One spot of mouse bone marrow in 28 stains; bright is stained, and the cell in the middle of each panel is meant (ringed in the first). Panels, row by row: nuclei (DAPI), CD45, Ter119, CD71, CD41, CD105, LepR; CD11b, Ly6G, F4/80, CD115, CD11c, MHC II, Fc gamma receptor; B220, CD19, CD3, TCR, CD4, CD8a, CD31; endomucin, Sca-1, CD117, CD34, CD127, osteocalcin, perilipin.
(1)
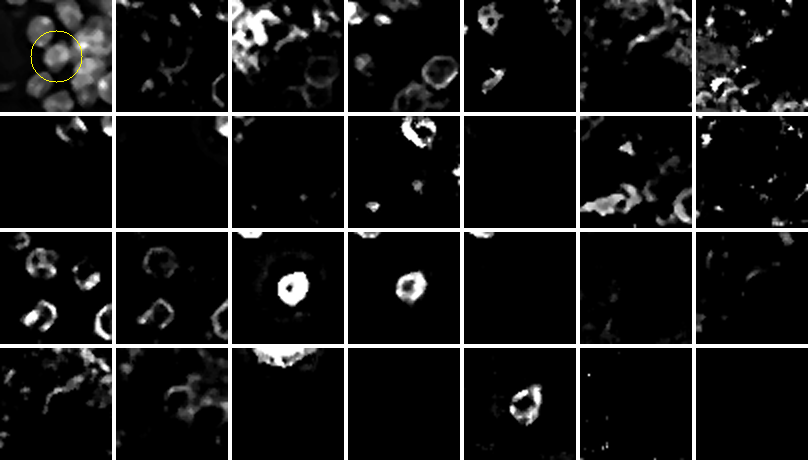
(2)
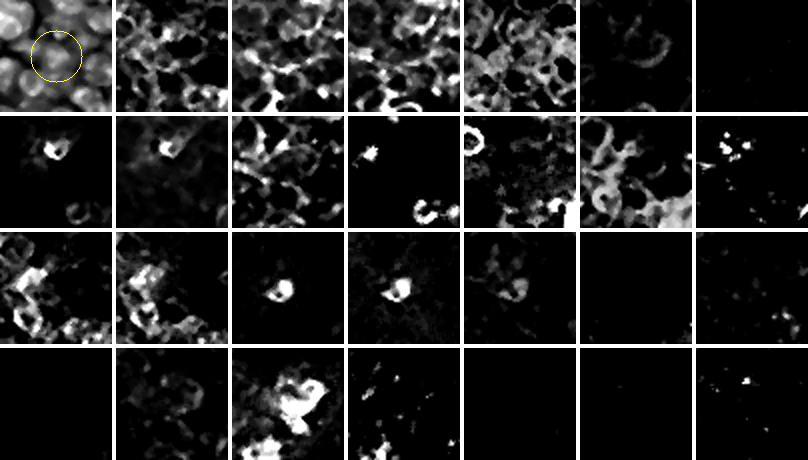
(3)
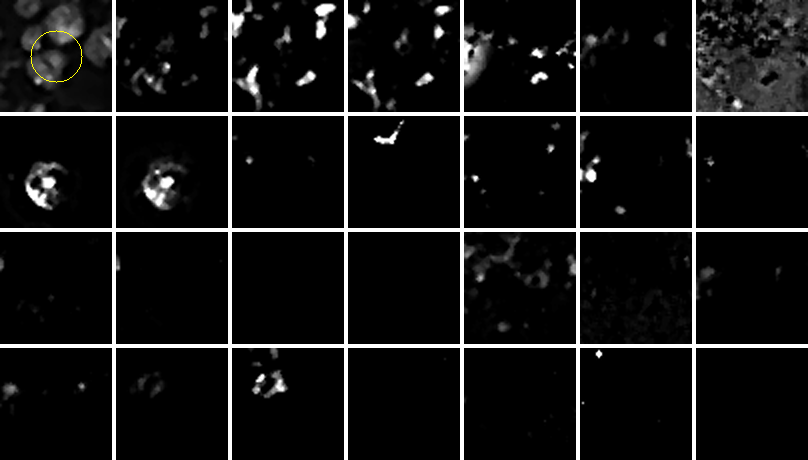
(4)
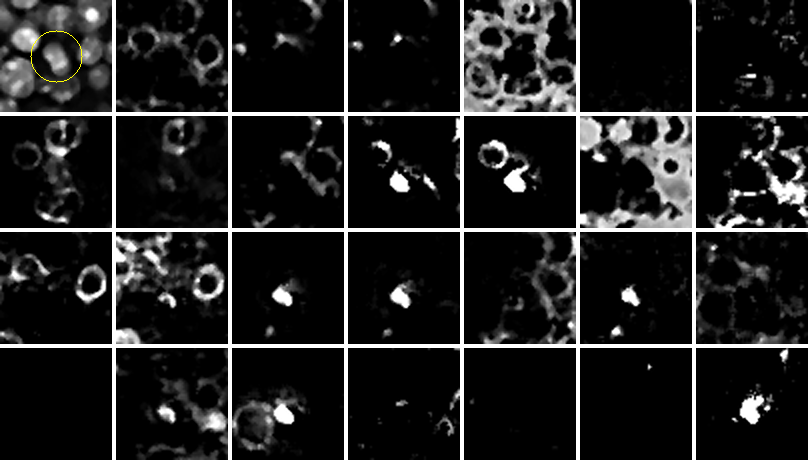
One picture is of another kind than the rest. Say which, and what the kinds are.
Picture 3 shows a neutrophil; the rest show double-negative T cells.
